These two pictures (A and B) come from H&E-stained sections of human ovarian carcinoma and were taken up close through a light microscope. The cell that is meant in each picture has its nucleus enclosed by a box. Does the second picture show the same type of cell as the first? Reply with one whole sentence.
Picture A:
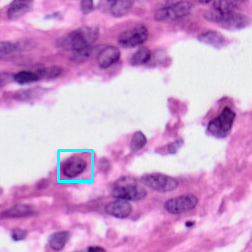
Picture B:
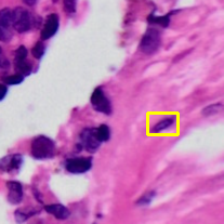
No. Picture A shows a “macrophage or monocyte”, but picture B shows a fibroblast.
